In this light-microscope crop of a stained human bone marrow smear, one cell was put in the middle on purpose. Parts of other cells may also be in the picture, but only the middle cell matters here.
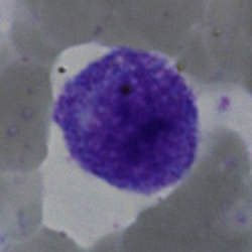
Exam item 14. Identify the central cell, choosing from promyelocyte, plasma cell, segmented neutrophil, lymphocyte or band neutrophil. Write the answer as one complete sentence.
The crop shows a promyelocyte in its centre.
